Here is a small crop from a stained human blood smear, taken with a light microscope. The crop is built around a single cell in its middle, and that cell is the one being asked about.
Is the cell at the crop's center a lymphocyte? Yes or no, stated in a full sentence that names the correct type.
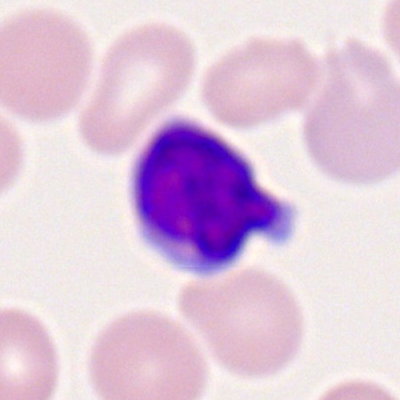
Yes, the centre of the crop holds a lymphocyte.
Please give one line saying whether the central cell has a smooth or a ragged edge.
Irregular and not smooth, the cell boundary is ragged or drawn out into projections.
